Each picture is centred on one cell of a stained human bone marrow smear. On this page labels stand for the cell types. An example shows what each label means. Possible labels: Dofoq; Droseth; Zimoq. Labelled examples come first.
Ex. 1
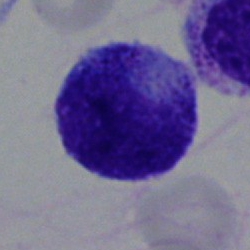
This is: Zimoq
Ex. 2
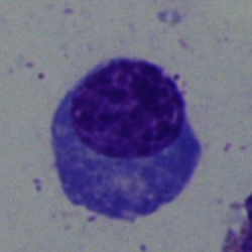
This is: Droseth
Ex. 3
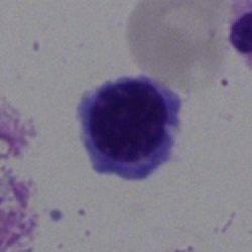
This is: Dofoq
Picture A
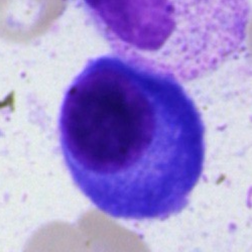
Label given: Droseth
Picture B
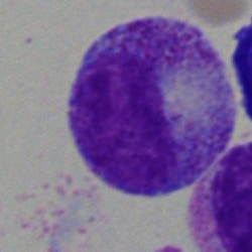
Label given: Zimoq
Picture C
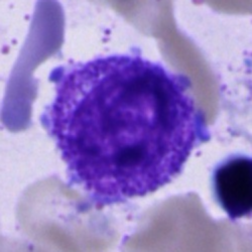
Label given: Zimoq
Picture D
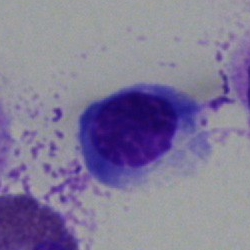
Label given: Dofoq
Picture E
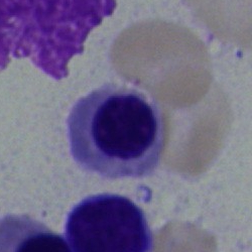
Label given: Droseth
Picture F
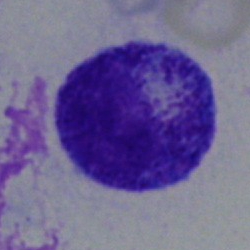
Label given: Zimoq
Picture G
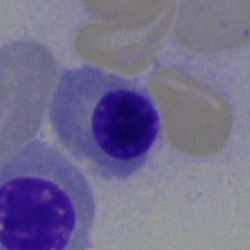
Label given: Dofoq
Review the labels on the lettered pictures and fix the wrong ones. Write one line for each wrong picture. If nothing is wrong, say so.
E: change Droseth to Dofoq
